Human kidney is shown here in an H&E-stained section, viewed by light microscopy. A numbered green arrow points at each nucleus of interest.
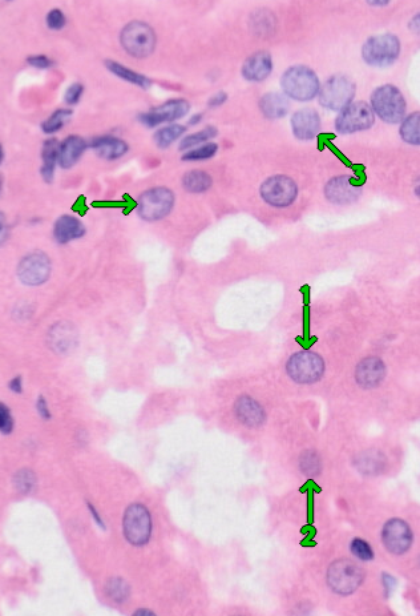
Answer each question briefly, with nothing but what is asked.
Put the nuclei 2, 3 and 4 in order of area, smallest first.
2, 3, 4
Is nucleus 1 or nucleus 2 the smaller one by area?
2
